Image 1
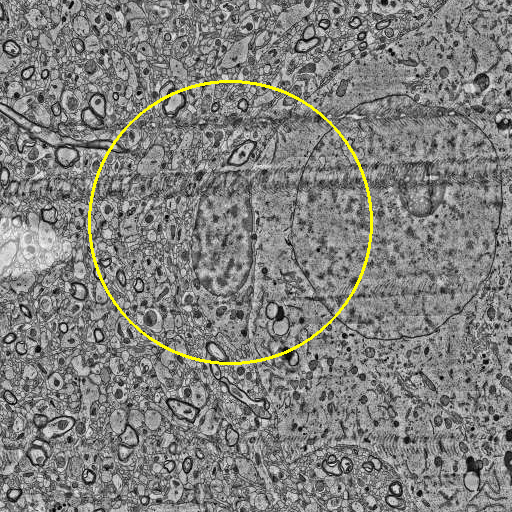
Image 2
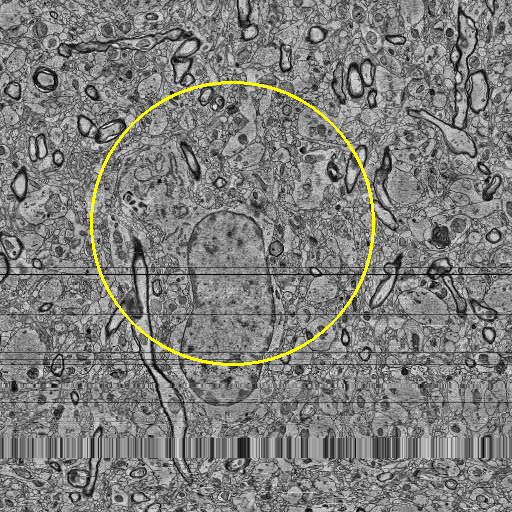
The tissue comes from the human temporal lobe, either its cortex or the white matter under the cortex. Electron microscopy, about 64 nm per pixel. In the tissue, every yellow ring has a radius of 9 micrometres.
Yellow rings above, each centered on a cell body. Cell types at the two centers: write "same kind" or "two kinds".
two kinds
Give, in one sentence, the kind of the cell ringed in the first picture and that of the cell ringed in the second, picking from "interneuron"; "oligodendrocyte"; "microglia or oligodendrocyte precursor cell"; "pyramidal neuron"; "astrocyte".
For the first picture it is an oligodendrocyte; for the second, a microglial cell or oligodendrocyte precursor cell.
